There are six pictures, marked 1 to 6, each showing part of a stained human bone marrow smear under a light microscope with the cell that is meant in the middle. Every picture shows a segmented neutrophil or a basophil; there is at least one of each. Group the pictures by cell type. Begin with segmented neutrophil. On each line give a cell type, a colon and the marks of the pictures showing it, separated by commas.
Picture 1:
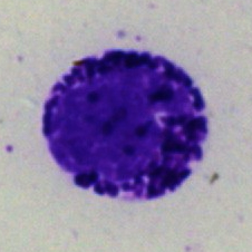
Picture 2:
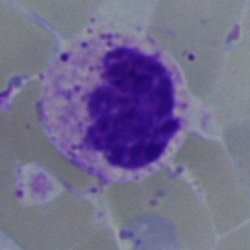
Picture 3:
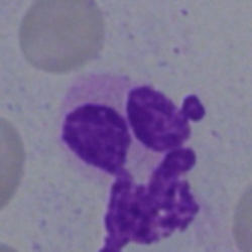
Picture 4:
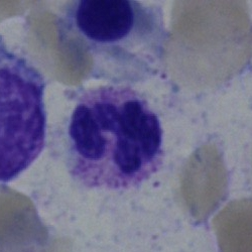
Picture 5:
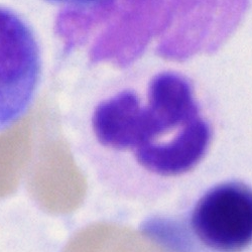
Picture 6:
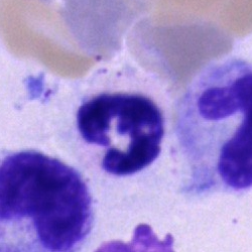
segmented neutrophil: 3, 5, 6
basophil: 1, 2, 4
